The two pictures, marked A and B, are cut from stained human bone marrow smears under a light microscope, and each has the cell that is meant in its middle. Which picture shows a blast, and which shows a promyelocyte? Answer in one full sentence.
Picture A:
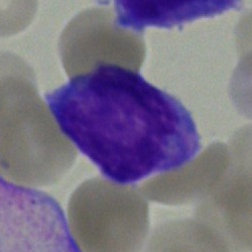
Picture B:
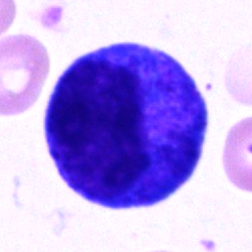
Picture B shows a promyelocyte, while picture A shows a blast.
